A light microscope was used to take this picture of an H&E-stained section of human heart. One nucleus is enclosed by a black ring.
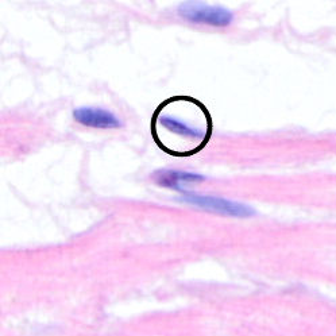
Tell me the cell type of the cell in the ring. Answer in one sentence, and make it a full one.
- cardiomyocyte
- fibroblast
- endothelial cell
At the level of cell identity, the cell in the ring is a fibroblast.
